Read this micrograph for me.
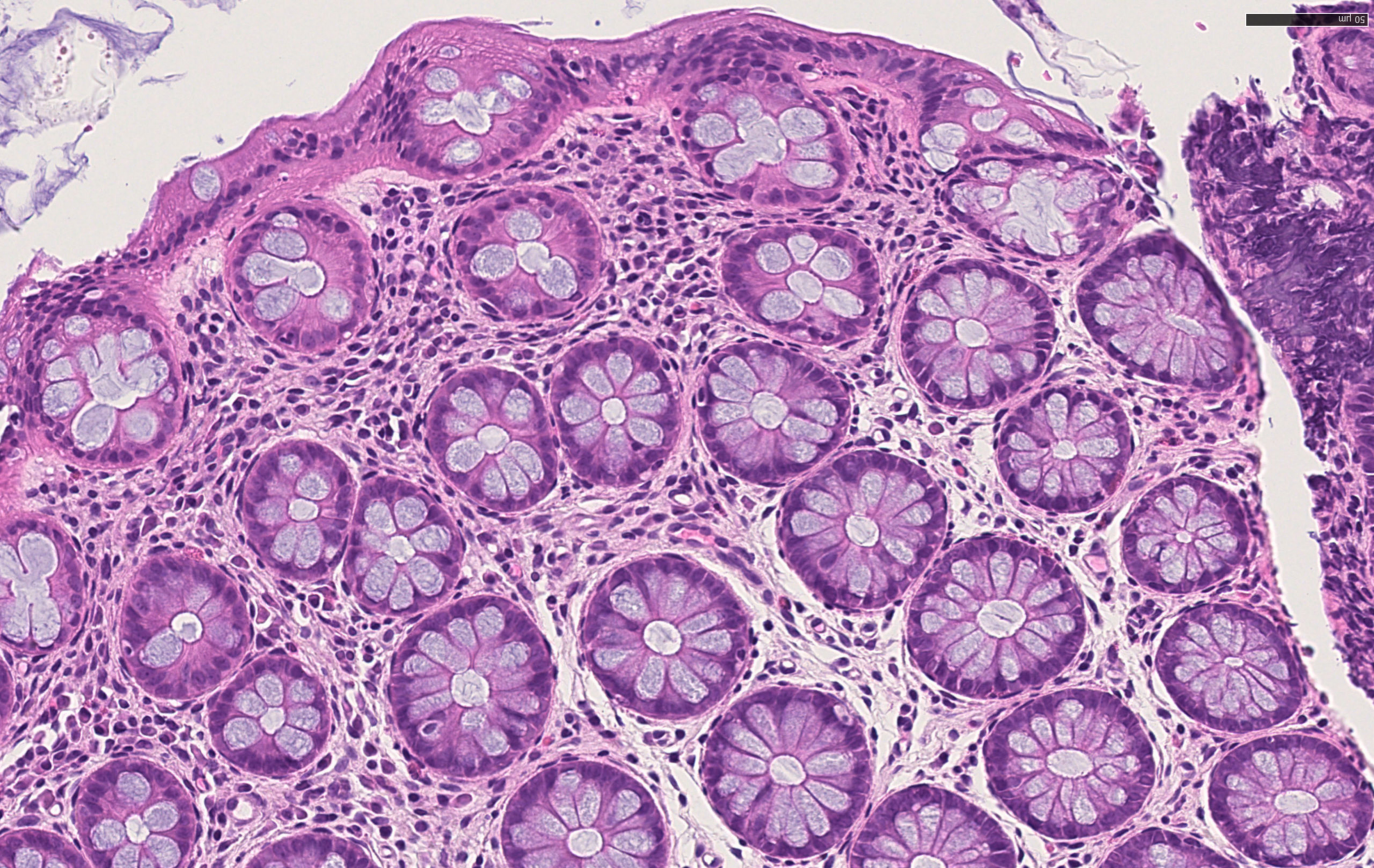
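This is colonic mucosa cut across its crypts. Numerous round, regularly spaced crypts are seen in cross-section. Each is lined by a single layer of columnar epithelium around a small central lumen. Many of the lining cells are goblet cells, with pale grey-lilac mucin vacuoles arranged radially like petals. The dark, elongated nuclei are pushed to the base of the cells. A flat pink surface epithelium runs along the upper edge. Between the crypts lies the lamina propria, a loose pink stroma holding scattered small round and spindle-shaped nuclei. The stroma is more cellular just beneath the surface. The crypts are uniform, without branching or distortion.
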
